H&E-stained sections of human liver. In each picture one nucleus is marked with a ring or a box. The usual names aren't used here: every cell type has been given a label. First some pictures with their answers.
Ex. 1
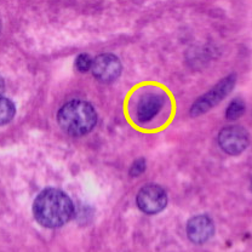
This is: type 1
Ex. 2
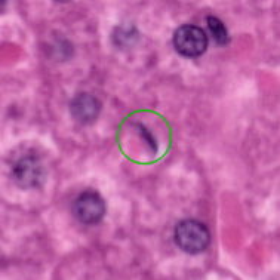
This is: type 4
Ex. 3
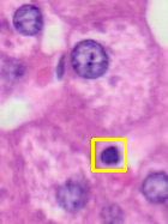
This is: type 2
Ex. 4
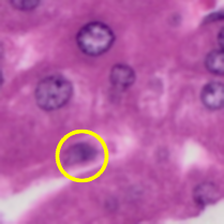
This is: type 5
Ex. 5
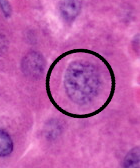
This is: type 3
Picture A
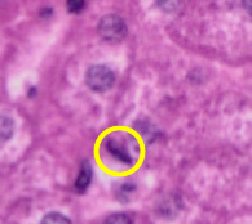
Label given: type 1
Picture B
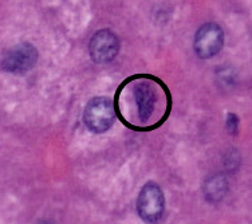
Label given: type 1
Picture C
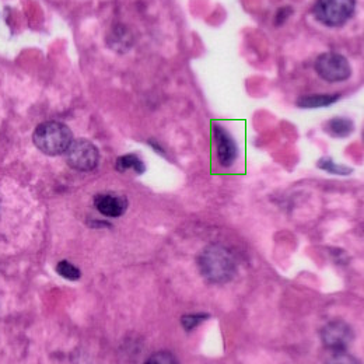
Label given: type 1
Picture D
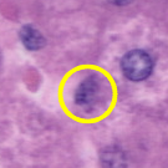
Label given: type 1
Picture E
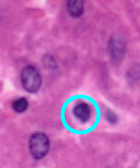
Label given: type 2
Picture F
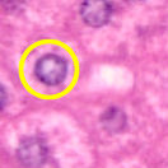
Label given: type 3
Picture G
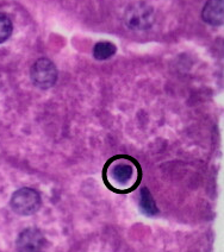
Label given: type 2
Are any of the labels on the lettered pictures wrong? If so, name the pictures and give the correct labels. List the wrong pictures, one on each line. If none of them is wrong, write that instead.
Wrong: D (type 1); correct: type 4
